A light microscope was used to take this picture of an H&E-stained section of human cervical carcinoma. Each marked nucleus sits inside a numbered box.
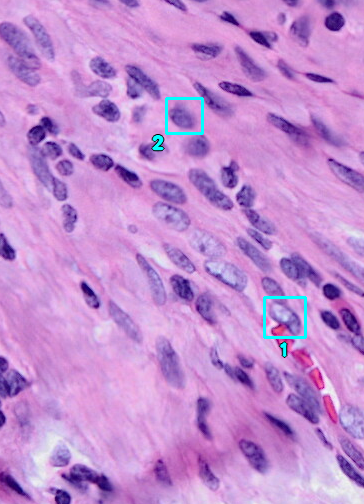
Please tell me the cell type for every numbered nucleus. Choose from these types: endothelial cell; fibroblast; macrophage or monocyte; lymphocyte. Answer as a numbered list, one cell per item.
1. endothelial cell
2. fibroblast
